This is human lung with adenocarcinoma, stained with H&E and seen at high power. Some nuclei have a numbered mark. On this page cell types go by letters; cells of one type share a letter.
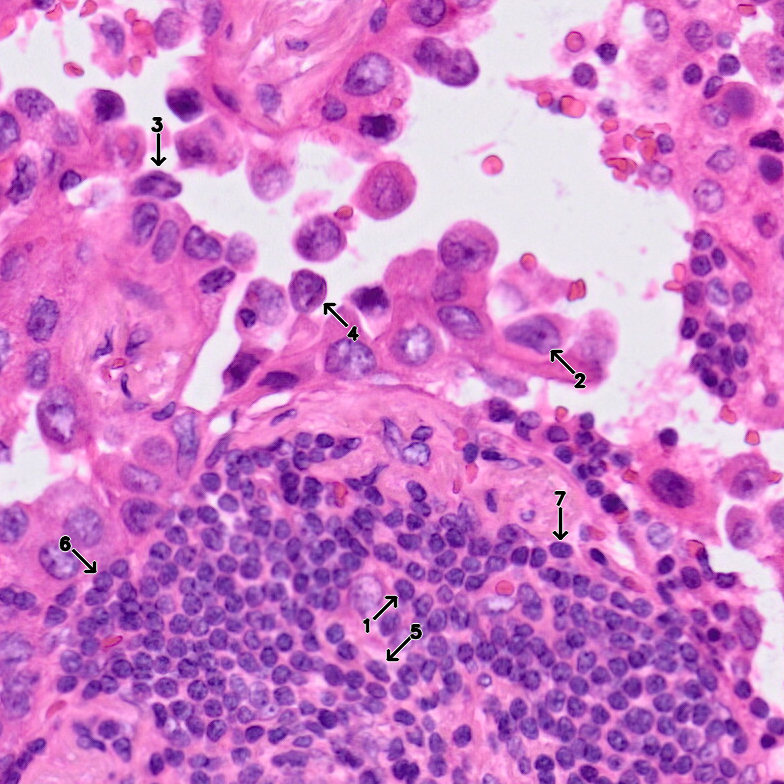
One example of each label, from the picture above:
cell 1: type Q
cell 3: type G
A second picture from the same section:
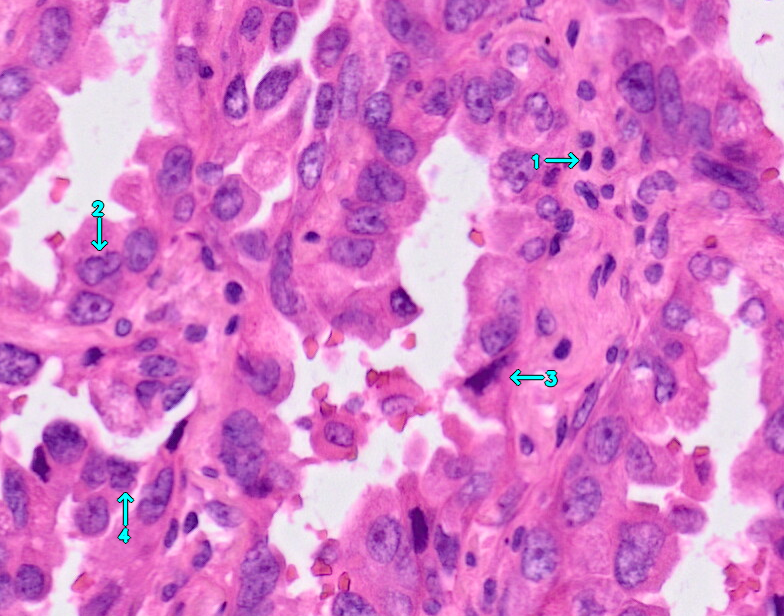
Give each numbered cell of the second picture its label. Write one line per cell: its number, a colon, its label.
1: type Q
2: type G
3: type G
4: type G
